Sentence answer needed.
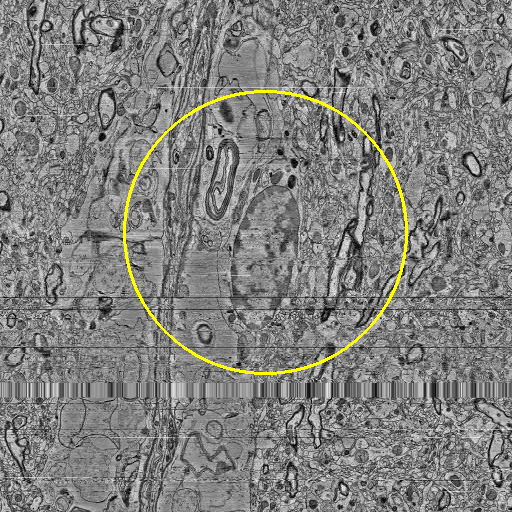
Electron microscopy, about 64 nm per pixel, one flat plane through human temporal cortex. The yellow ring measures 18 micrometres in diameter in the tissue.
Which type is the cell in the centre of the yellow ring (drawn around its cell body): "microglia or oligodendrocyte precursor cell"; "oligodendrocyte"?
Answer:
In the centre of the yellow ring is a microglial cell or oligodendrocyte precursor cell.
